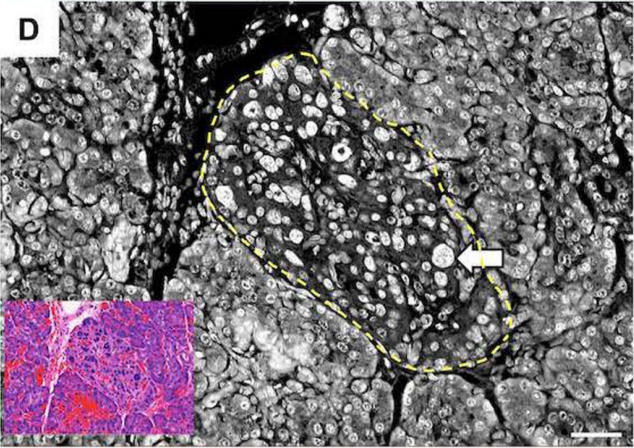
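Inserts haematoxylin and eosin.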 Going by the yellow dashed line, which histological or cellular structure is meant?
Islet.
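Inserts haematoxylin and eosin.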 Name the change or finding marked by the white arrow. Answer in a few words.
Nucleomegaly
